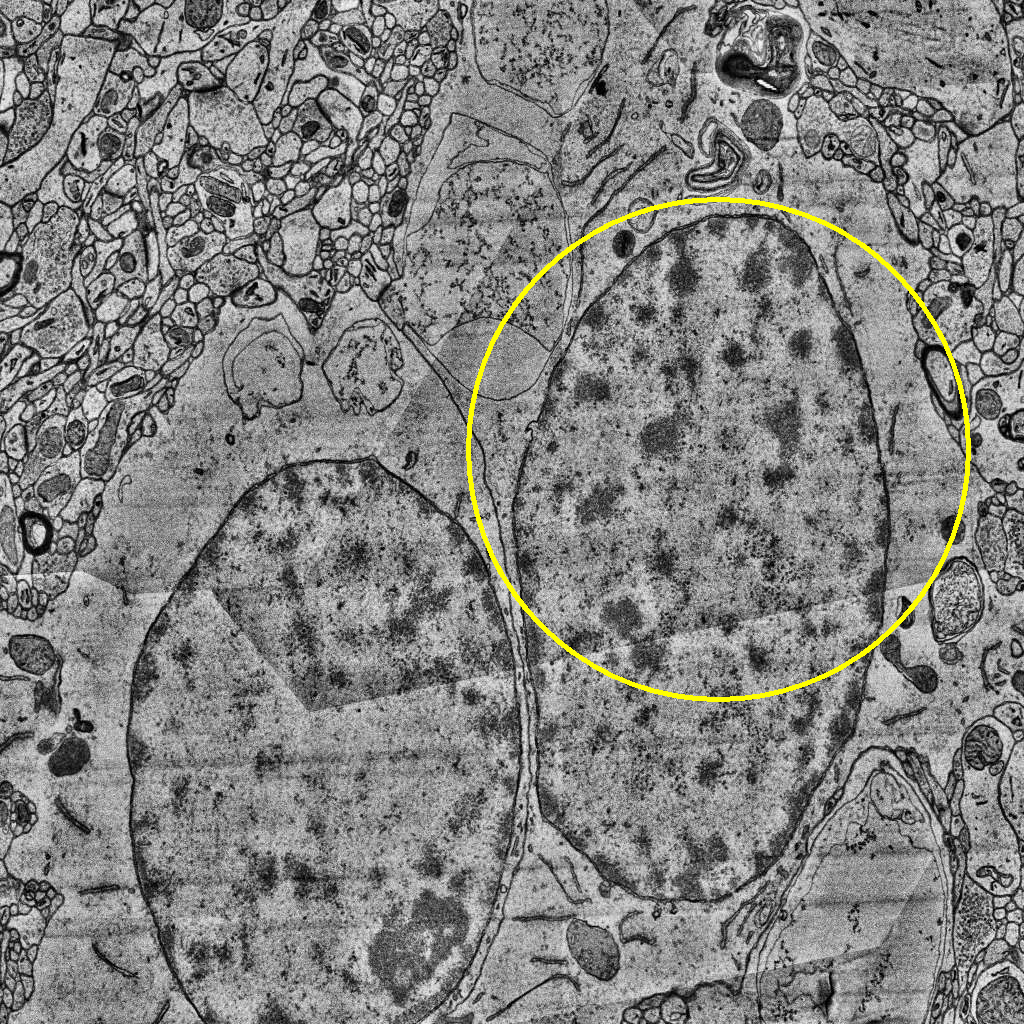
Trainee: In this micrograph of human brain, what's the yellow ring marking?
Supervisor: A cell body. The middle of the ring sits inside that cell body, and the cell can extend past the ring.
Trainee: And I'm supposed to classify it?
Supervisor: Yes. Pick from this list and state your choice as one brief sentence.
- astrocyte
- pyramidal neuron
The cell at the ring's center is an astrocyte.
